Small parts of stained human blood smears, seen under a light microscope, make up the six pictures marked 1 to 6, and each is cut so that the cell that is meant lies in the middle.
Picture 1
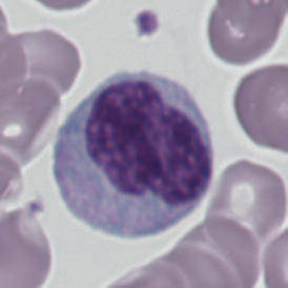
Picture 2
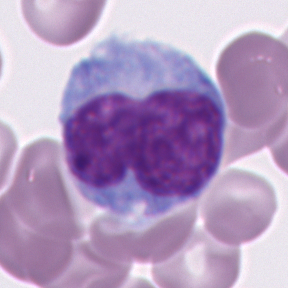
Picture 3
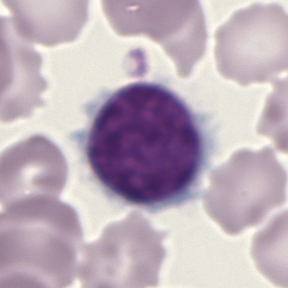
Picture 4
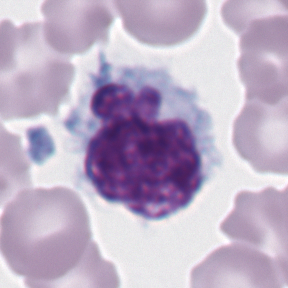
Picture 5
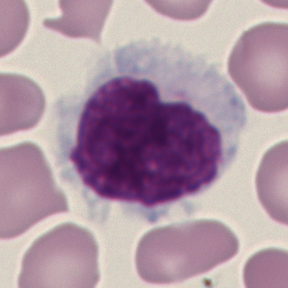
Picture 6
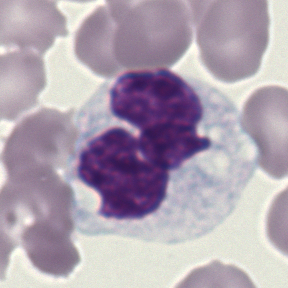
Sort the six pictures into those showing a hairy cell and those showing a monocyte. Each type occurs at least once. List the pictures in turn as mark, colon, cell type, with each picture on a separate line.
1: monocyte
2: monocyte
3: hairy cell
4: hairy cell
5: hairy cell
6: monocyte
